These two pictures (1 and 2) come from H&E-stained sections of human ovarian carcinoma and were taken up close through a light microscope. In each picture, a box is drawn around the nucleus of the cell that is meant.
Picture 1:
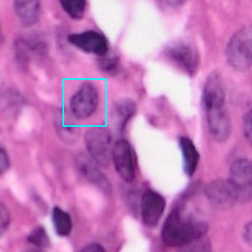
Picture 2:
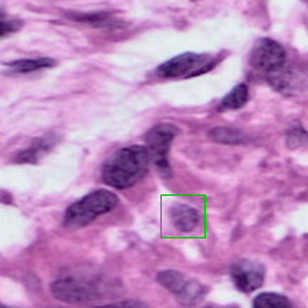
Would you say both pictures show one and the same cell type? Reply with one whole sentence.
Yes, the two pictures both show “macrophages or monocytes”.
